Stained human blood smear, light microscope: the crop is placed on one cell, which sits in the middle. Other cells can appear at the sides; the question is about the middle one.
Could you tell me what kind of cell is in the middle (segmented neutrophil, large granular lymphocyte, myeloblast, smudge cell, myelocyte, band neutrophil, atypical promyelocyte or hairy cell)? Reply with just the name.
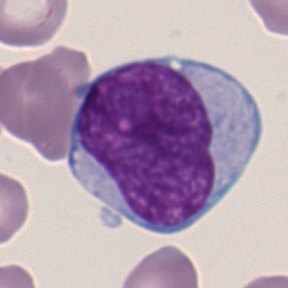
myeloblast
